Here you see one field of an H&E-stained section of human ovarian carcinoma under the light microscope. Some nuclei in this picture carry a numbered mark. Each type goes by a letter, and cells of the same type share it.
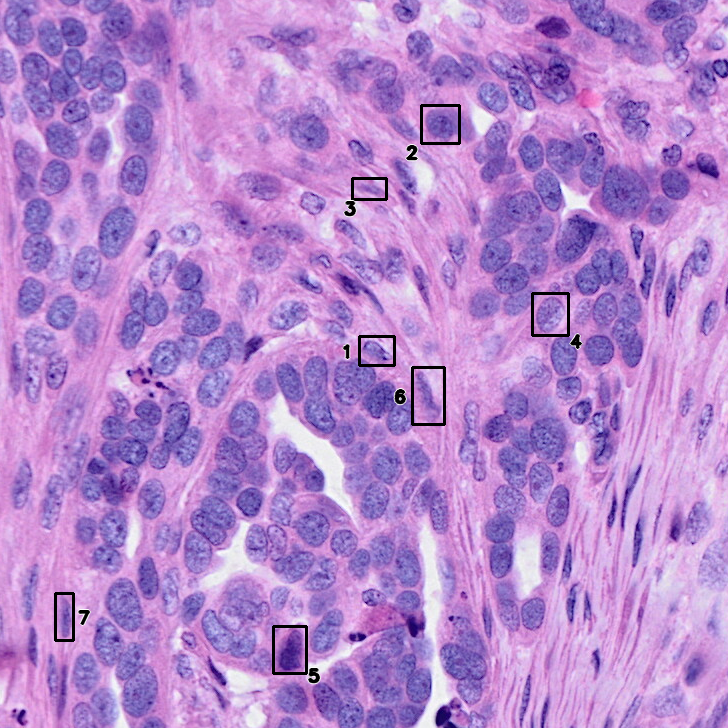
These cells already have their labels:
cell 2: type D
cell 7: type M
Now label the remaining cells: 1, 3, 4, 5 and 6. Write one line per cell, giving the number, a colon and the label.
1: type M
3: type M
4: type D
5: type D
6: type M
